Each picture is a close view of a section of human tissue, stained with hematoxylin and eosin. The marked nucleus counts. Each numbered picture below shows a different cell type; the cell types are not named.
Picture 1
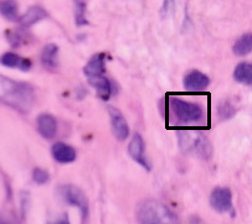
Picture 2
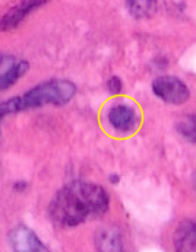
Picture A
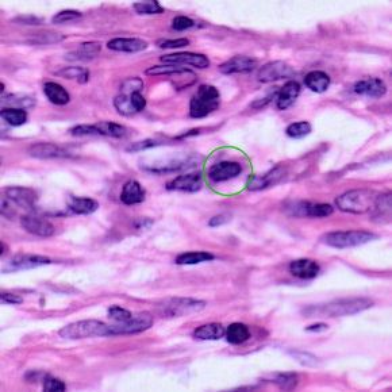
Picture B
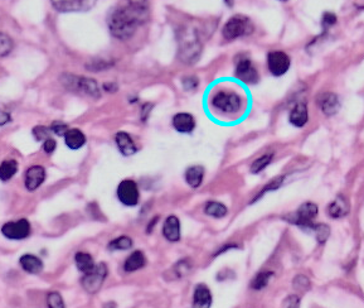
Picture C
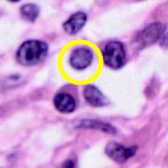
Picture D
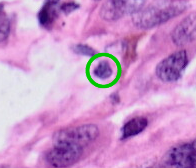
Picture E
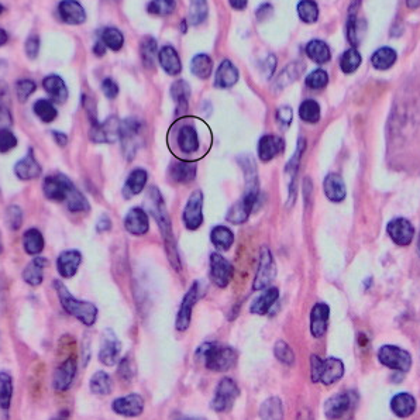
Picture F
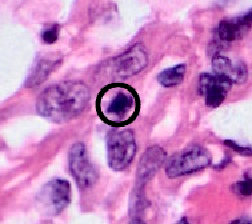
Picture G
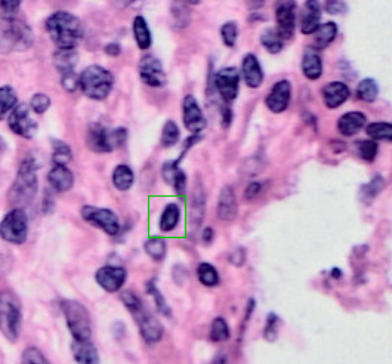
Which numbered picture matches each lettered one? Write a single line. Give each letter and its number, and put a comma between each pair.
A 1, B 1, C 2, D 2, E 1, F 2, G 2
